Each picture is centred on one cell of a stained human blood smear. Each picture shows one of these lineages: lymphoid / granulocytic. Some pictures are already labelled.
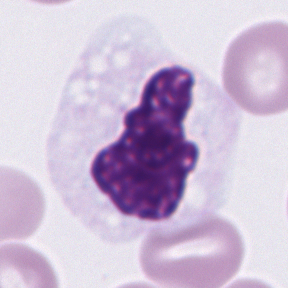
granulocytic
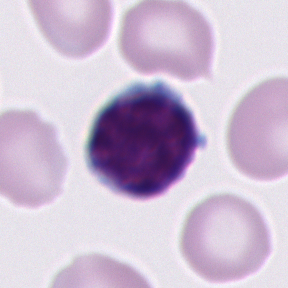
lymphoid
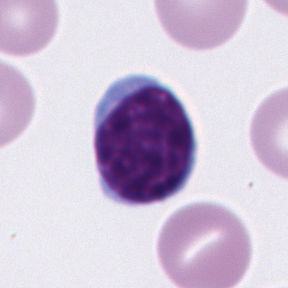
lymphoid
